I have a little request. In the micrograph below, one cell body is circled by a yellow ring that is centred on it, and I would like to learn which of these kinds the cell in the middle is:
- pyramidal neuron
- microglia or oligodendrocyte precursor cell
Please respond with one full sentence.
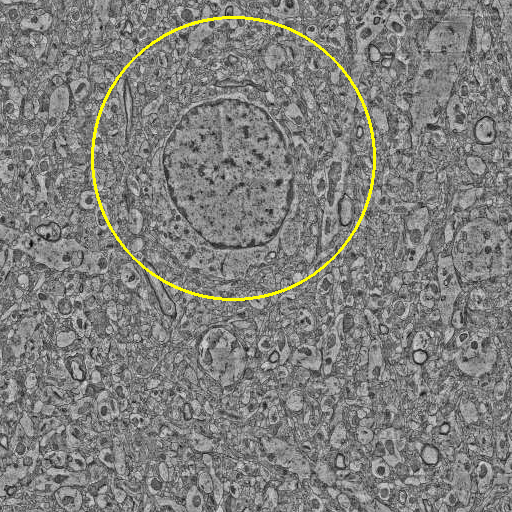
The cell sitting in the middle of the yellow ring in the micrograph is a microglial cell or oligodendrocyte precursor cell.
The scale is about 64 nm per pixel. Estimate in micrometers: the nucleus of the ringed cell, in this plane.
About 10 by 8 micrometres in this plane.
